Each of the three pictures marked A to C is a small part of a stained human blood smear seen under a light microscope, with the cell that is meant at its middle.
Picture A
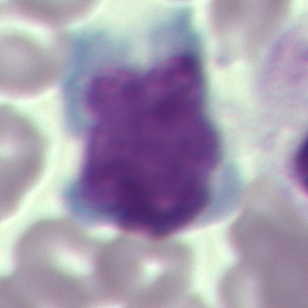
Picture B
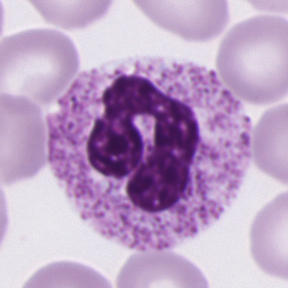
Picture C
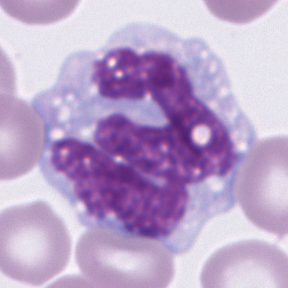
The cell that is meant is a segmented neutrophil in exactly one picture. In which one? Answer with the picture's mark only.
B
